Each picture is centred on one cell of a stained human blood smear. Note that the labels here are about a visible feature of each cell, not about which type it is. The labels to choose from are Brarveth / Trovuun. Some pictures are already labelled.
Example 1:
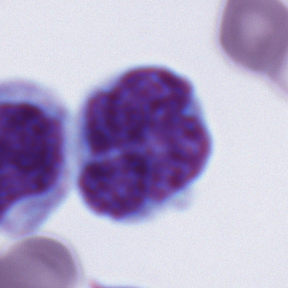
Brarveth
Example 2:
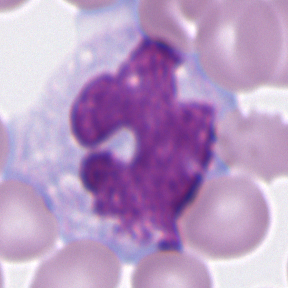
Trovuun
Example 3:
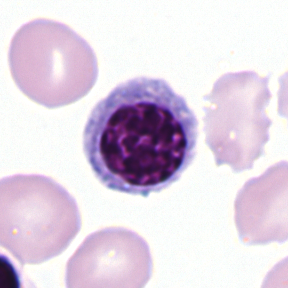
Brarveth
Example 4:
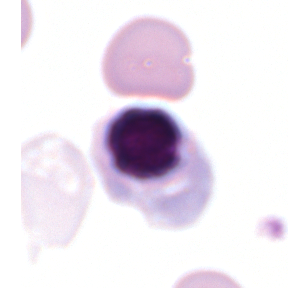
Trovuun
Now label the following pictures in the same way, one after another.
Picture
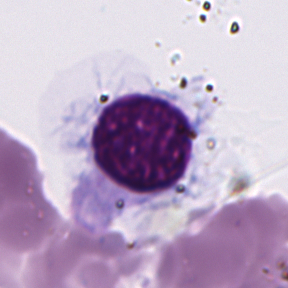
Trovuun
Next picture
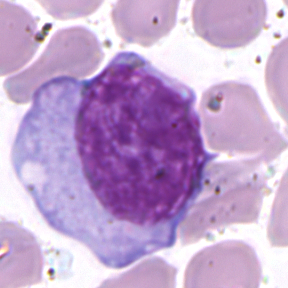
Trovuun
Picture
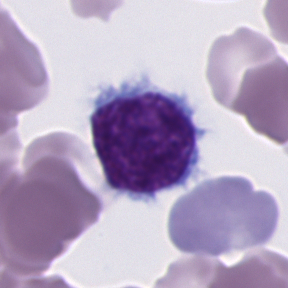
Brarveth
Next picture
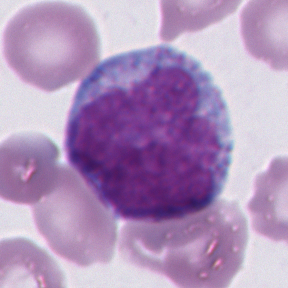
Brarveth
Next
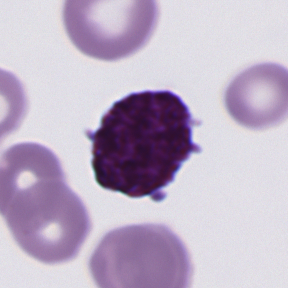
Brarveth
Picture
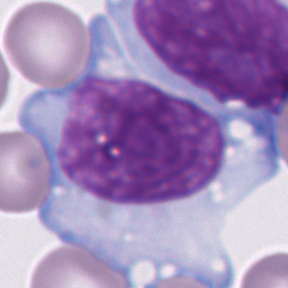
Trovuun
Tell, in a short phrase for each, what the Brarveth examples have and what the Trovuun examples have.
In Brarveth: scant cytoplasm. In Trovuun: abundant cytoplasm.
